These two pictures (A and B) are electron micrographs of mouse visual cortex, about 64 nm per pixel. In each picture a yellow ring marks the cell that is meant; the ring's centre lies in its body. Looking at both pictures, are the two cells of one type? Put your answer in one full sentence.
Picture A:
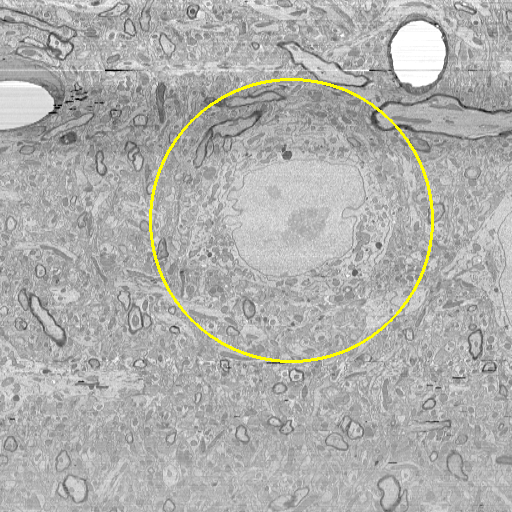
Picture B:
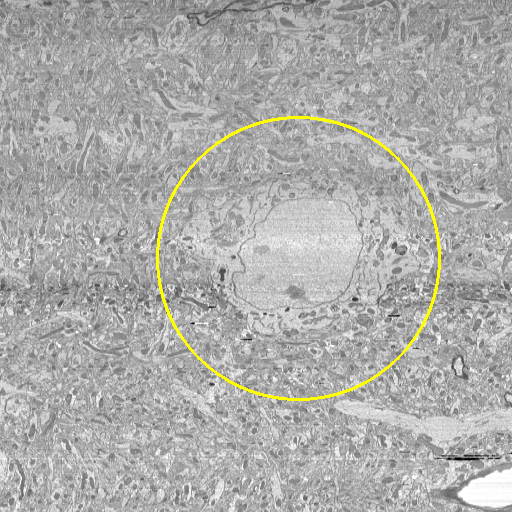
No, the types are not the same, since picture A shows an inhibitory neuron and picture B an excitatory neuron.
